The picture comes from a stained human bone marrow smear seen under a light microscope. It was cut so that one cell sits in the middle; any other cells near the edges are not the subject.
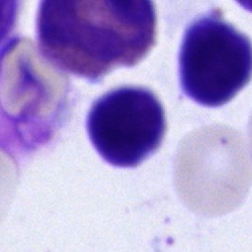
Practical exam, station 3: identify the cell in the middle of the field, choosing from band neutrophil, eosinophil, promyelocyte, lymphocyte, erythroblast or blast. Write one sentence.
For this crop, the cell in the middle is a lymphocyte.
